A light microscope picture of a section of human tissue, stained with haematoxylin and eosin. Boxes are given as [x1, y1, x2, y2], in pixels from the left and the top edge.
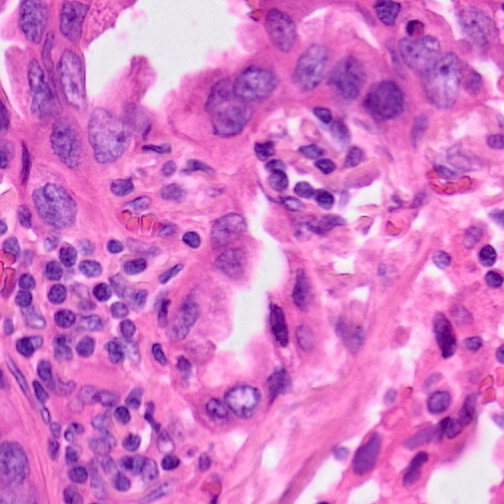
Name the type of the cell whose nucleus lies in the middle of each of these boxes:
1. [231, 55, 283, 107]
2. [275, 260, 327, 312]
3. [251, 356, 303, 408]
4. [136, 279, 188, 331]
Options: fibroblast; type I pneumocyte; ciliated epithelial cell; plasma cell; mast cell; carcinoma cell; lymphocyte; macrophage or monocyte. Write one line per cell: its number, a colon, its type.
1: carcinoma cell
2: carcinoma cell
3: carcinoma cell
4: lymphocyte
